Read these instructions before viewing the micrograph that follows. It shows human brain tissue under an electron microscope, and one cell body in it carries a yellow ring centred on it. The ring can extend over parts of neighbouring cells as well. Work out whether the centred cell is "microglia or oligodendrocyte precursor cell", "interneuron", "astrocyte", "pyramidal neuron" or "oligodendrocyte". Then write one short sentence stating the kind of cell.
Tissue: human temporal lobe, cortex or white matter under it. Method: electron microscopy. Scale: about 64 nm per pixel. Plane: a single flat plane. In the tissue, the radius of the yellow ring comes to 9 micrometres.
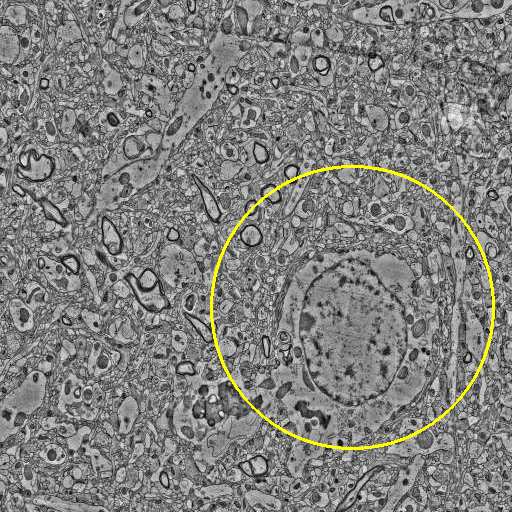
The ringed cell is an astrocyte.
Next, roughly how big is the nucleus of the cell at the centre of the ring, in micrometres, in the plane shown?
The nucleus has a long axis of about 9 micrometres and a short axis of about 7 micrometres in this plane.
